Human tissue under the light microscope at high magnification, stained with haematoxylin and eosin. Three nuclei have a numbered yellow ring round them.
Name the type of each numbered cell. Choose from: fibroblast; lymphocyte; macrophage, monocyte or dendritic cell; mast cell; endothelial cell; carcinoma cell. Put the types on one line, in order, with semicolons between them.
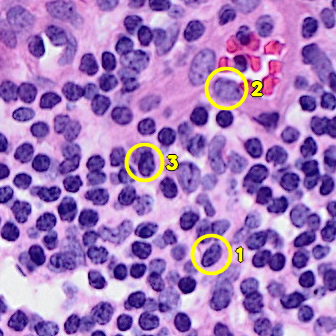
lymphocyte; endothelial cell; lymphocyte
